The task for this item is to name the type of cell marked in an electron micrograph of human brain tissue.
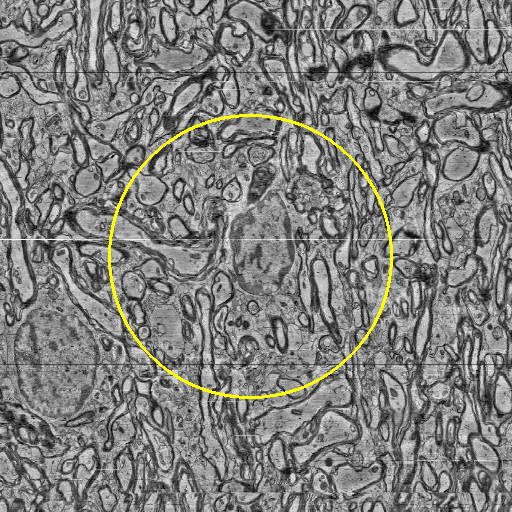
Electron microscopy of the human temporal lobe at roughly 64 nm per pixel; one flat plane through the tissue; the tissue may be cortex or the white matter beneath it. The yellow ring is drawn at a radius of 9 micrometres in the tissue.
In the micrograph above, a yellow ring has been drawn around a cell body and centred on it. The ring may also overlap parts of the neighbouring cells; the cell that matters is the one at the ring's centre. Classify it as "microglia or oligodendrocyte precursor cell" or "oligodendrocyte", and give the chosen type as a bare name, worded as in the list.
microglia or oligodendrocyte precursor cell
